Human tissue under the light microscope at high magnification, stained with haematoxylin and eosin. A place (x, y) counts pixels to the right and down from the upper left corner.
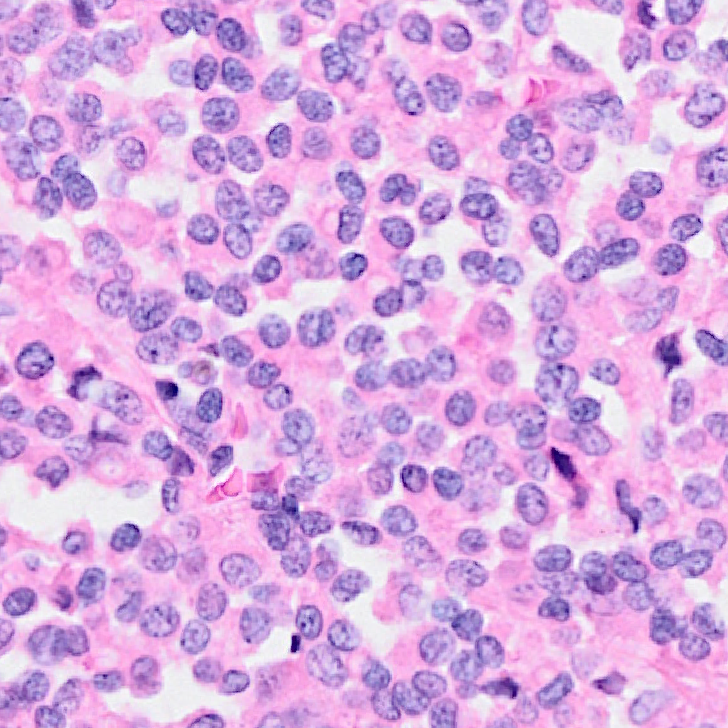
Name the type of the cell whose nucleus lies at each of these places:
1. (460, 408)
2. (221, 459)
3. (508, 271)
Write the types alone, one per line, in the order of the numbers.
carcinoma cell
endothelial cell
carcinoma cell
